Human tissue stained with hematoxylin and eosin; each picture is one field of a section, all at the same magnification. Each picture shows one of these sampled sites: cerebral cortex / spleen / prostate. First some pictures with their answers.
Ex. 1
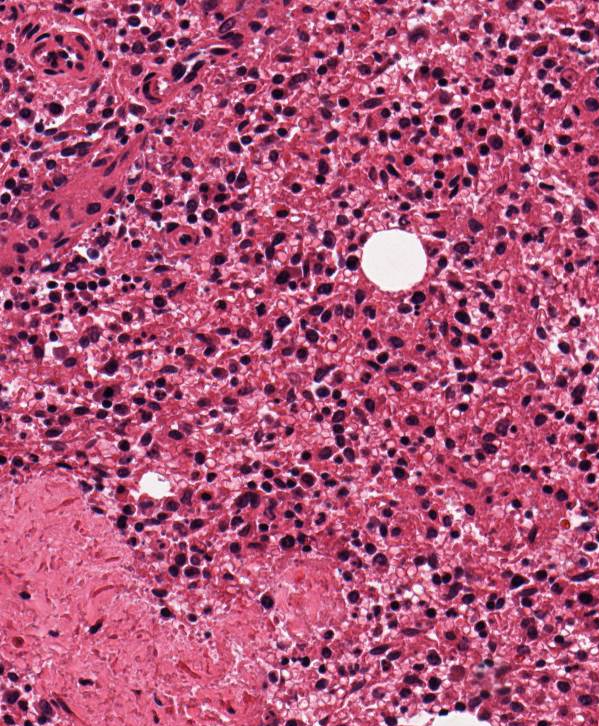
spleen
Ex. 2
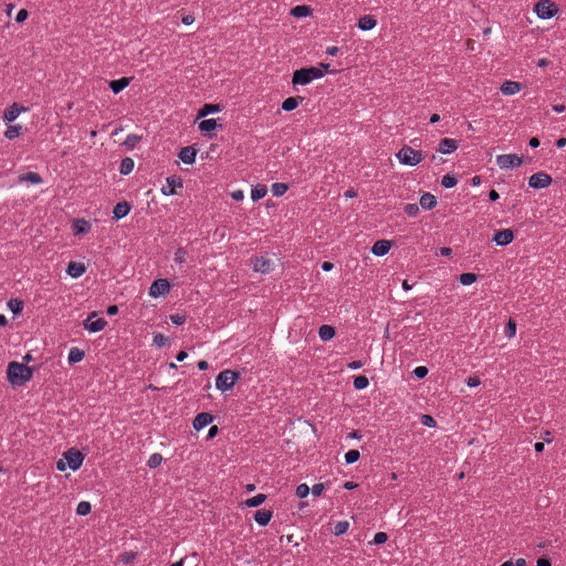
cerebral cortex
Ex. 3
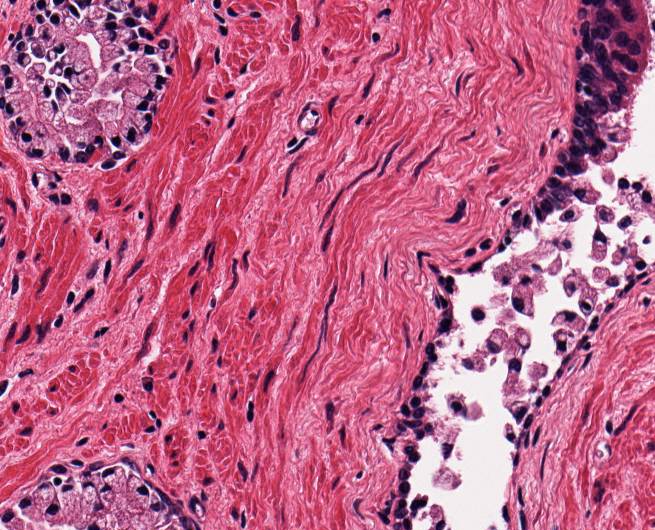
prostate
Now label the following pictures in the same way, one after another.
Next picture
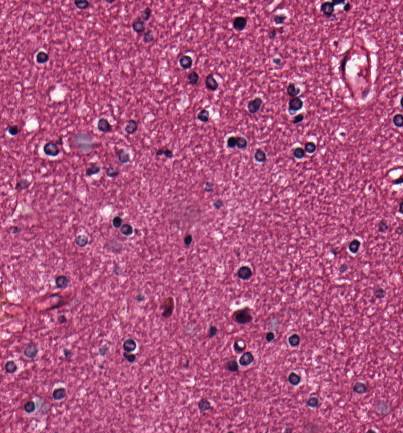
cerebral cortex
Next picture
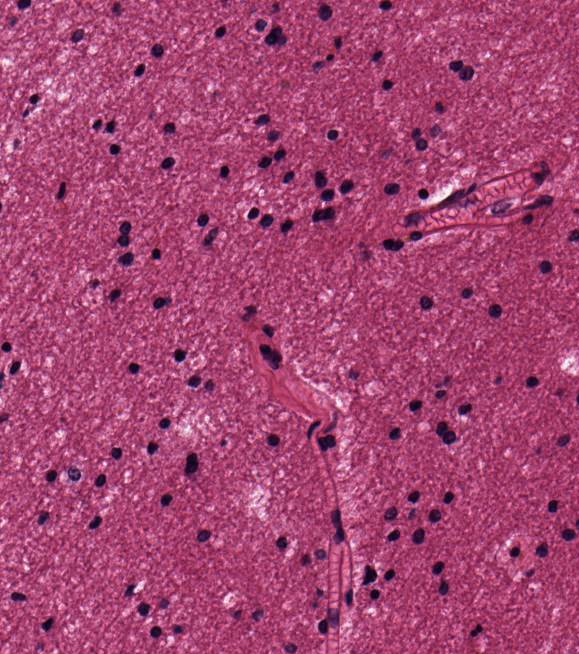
cerebral cortex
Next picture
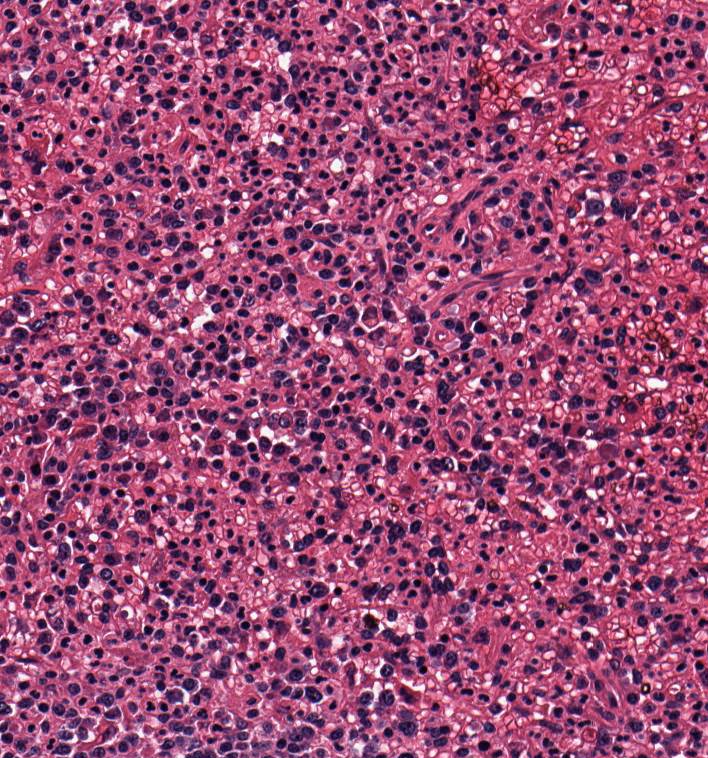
spleen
